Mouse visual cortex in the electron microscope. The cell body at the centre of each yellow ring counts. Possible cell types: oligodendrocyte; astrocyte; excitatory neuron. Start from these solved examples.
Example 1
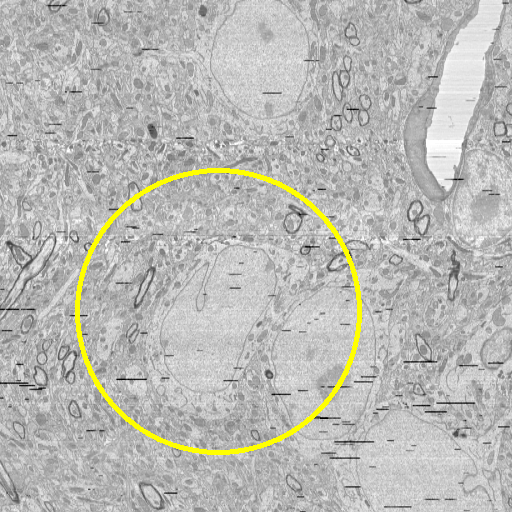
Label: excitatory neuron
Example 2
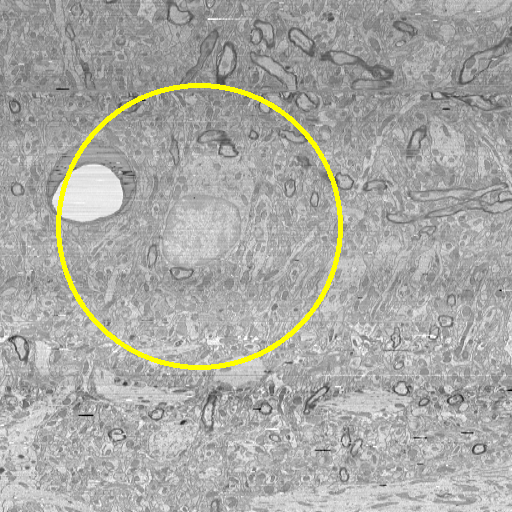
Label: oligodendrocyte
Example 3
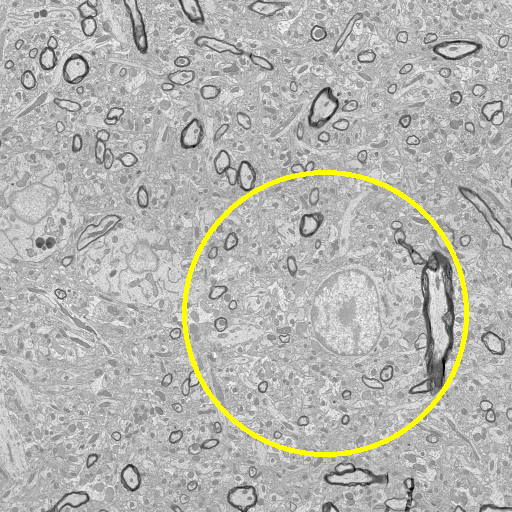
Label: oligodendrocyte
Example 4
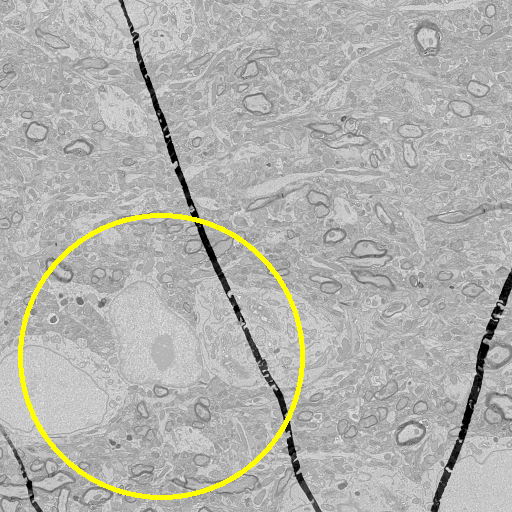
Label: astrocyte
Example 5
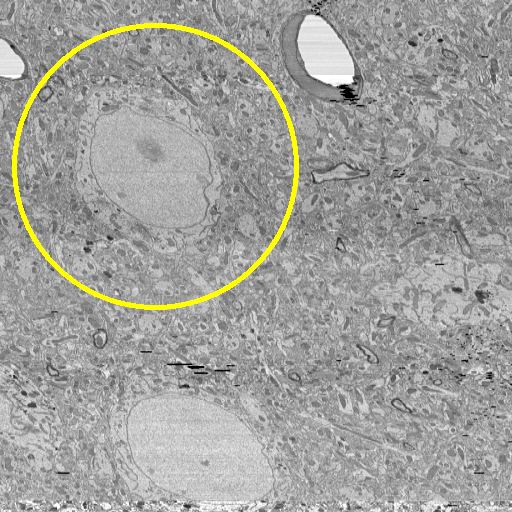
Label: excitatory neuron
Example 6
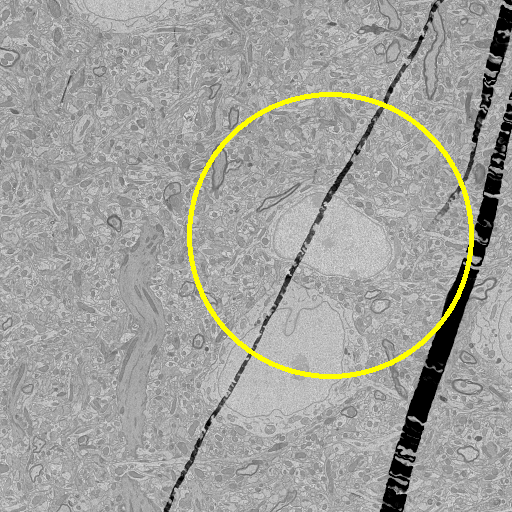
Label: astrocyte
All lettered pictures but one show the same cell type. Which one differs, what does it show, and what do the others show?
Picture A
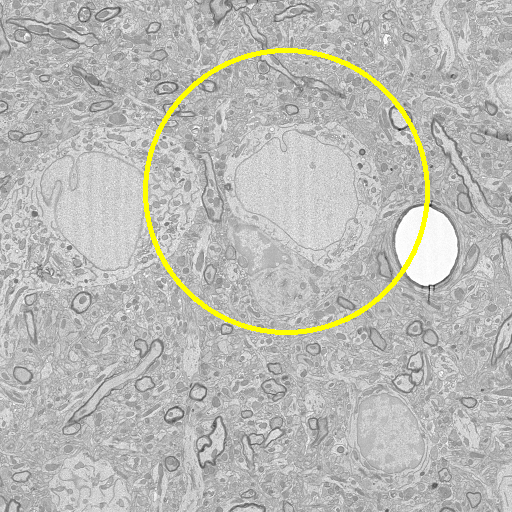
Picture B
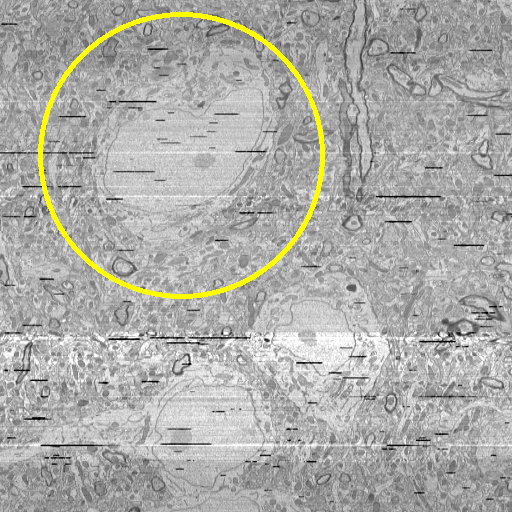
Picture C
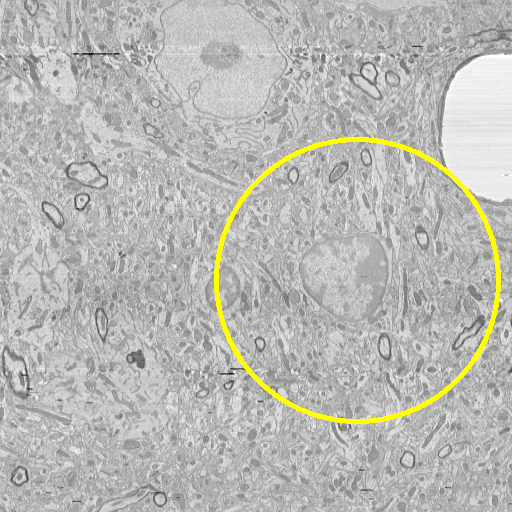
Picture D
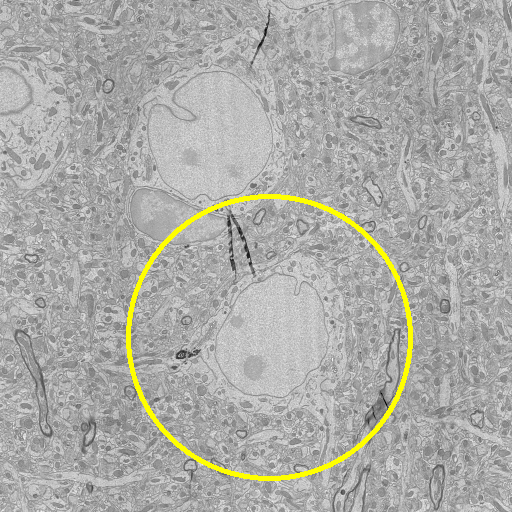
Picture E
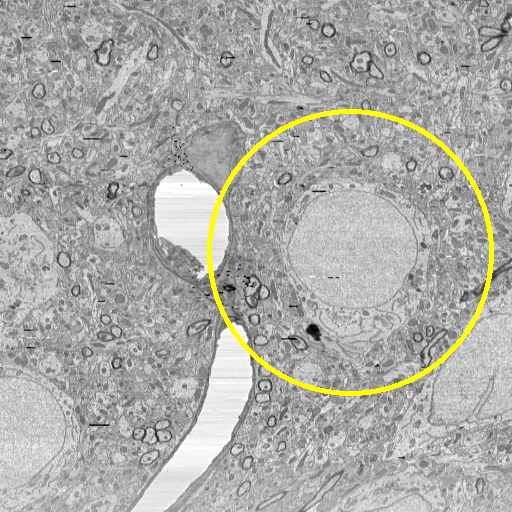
C differs and shows oligodendrocyte; the others show excitatory neuron.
